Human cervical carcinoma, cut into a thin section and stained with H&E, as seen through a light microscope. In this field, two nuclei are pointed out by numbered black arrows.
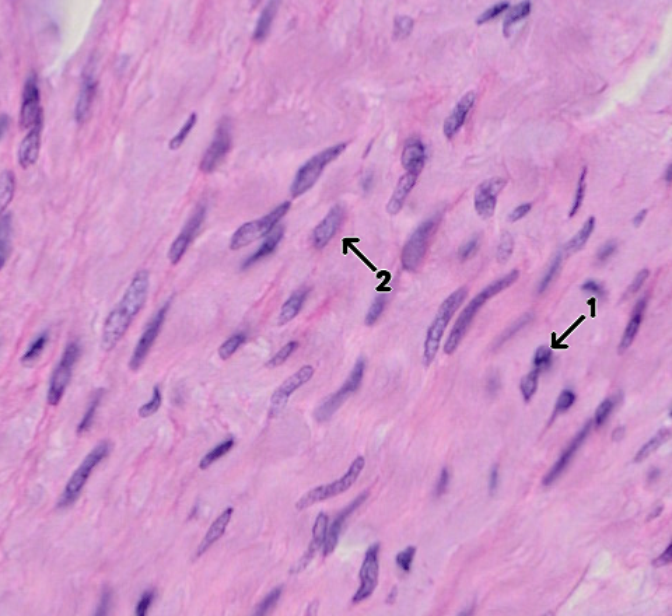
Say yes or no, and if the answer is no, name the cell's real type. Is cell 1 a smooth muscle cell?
No, it is a fibroblast.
